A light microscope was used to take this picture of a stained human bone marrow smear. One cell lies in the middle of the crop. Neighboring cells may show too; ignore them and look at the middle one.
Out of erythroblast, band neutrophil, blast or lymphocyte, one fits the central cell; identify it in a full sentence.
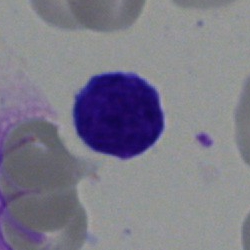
The cell at the middle of the frame should be recorded as a lymphocyte.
